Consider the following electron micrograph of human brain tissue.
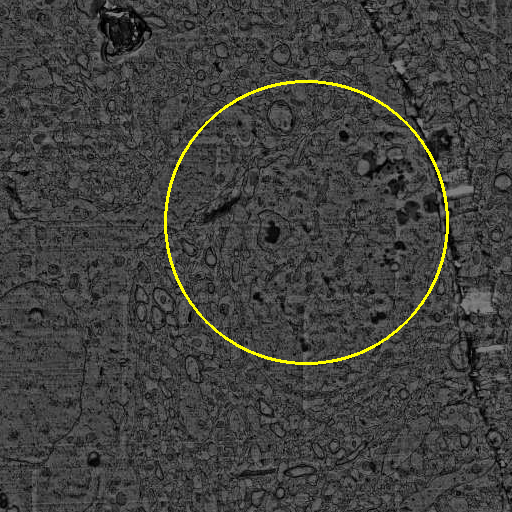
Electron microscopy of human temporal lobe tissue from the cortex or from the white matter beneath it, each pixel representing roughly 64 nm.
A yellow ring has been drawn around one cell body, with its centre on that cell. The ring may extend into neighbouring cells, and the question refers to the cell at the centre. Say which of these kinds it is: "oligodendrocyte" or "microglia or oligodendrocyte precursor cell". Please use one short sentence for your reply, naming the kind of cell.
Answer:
The centre of the ring falls on an oligodendrocyte.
